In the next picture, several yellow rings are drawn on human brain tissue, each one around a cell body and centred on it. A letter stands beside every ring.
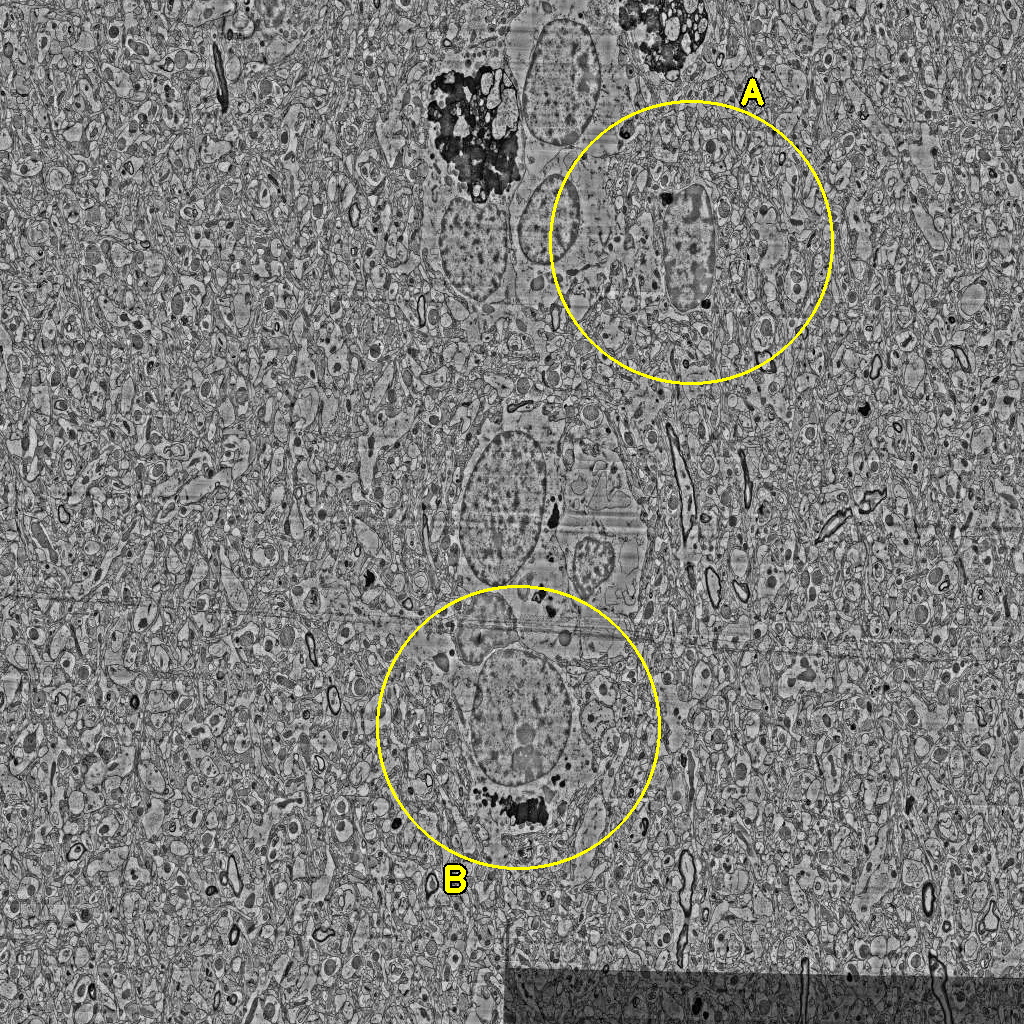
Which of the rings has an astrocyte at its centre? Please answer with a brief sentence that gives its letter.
Ring B has it at its centre.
